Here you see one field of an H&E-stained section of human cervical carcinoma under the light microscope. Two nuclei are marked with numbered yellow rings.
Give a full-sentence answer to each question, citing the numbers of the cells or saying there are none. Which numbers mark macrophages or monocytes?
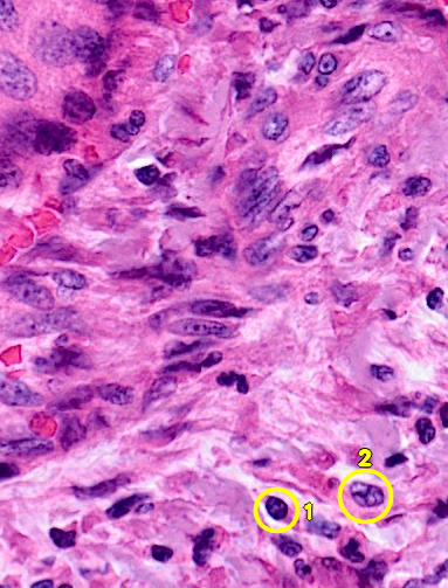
Only the cell carrying number 2 is a macrophage or monocyte.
